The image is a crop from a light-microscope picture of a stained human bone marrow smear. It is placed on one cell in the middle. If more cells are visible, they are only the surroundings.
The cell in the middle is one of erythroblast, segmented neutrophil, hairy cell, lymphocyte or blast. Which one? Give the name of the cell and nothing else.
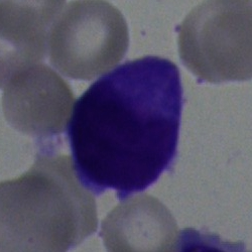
blast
